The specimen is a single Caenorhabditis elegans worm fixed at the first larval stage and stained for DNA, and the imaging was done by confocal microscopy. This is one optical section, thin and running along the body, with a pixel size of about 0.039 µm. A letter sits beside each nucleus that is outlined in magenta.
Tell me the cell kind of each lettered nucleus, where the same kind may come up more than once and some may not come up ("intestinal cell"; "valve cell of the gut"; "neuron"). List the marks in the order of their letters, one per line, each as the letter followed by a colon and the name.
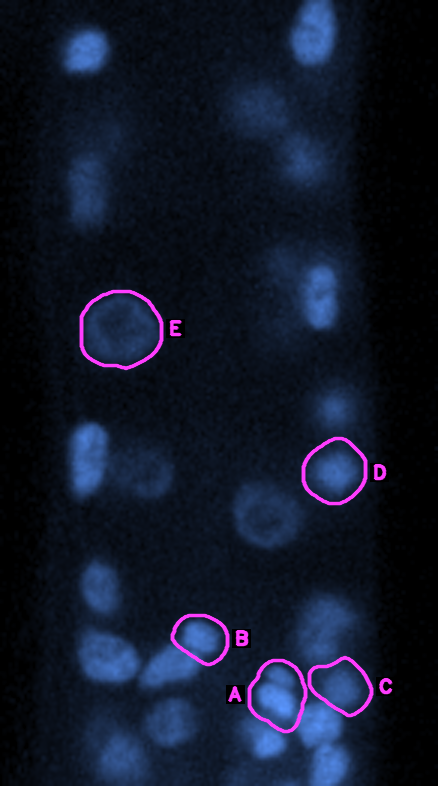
A: valve cell of the gut
B: valve cell of the gut
C: neuron
D: neuron
E: intestinal cell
